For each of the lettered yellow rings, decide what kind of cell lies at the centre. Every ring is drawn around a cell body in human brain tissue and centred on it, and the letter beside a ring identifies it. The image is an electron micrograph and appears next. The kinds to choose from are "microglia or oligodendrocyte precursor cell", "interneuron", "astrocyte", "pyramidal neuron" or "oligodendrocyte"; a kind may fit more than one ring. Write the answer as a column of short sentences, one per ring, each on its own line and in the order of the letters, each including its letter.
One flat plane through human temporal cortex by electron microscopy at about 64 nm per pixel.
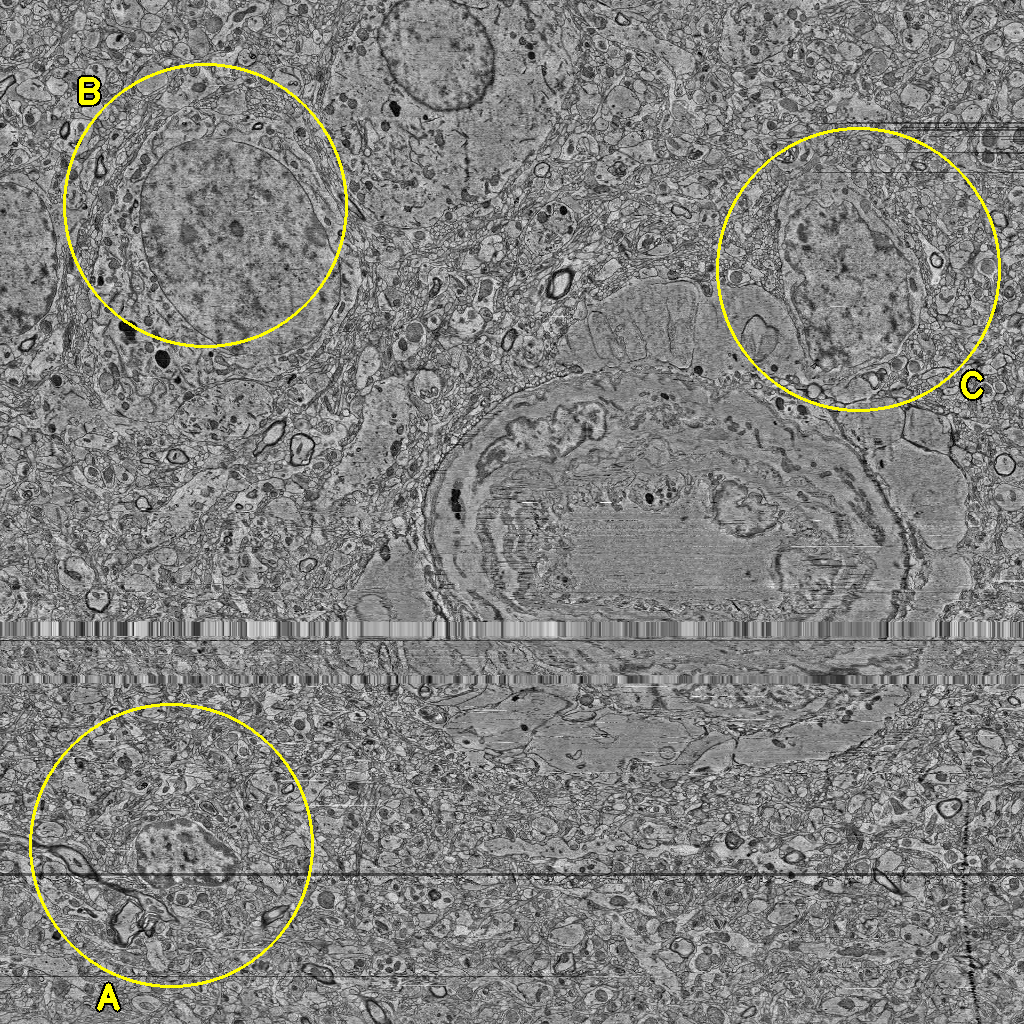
In the centre of ring A lies a microglial cell or oligodendrocyte precursor cell.
In the centre of ring B lies an interneuron.
In the centre of ring C lies an interneuron.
